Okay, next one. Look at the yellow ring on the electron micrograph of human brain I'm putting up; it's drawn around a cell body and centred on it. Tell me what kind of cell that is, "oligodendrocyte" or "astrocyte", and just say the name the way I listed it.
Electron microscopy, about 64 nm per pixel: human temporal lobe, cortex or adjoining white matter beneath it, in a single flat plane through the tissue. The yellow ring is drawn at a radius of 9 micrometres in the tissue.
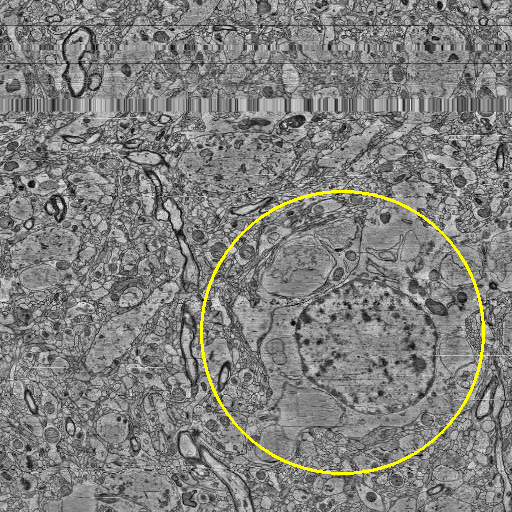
astrocyte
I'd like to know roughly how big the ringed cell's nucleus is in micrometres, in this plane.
In this plane the nucleus spans approximately 9 by 8 micrometers.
